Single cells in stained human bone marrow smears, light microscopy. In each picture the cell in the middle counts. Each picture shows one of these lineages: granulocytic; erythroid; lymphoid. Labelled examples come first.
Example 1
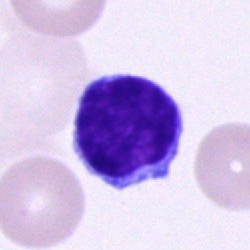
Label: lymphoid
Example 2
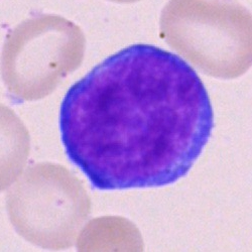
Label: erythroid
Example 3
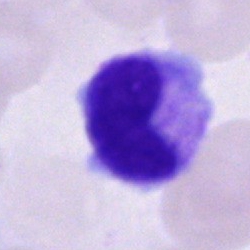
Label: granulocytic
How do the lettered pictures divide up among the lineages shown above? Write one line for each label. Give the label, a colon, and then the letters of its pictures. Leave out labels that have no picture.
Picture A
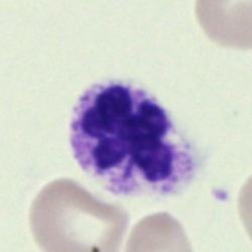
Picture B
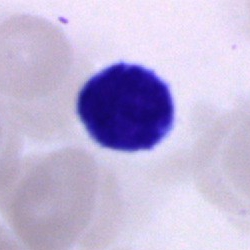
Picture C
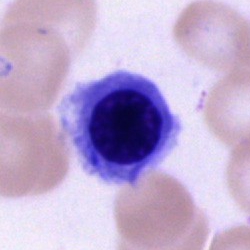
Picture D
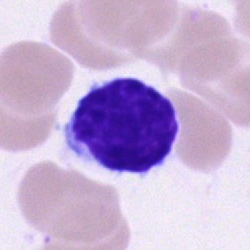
granulocytic: A
erythroid: C
lymphoid: B, D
